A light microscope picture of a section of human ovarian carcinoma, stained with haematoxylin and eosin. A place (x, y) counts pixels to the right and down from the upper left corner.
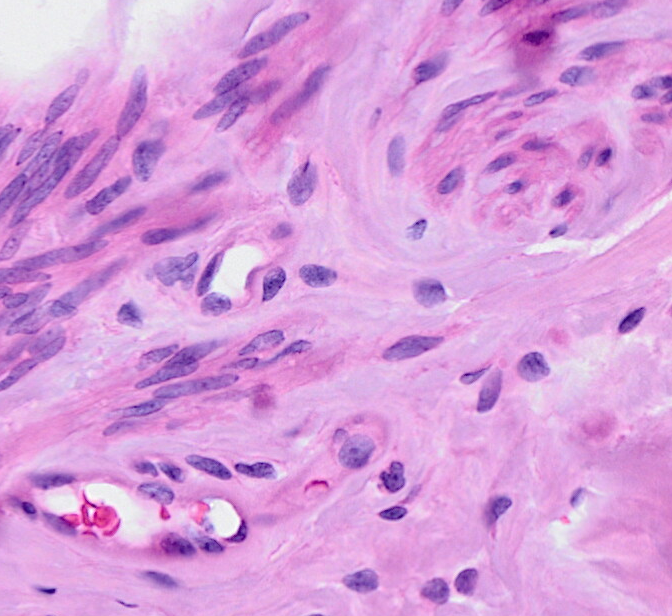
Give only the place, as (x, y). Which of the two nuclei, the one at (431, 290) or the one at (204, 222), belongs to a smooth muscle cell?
(204, 222)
